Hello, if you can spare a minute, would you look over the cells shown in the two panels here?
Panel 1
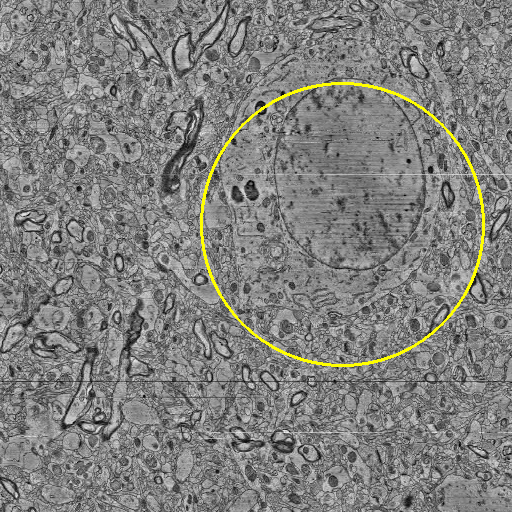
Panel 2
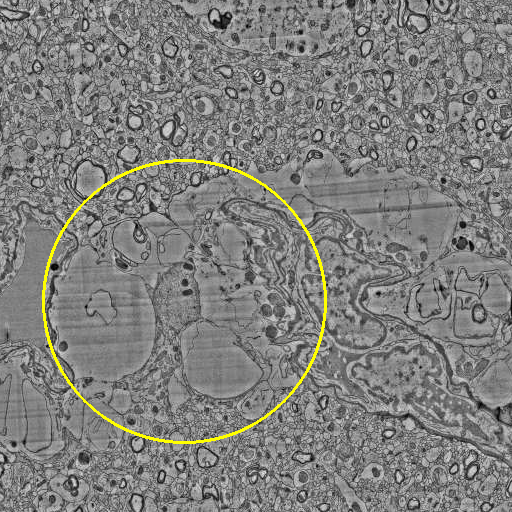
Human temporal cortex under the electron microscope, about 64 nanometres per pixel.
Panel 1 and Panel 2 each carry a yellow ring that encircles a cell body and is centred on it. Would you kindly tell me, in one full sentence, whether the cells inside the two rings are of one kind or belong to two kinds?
The cells at the centres of the rings in Panel 1 and Panel 2 belong to two kinds.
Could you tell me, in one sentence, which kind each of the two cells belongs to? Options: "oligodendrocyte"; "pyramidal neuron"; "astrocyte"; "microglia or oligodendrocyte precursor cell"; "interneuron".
At the centre of the first ring sits a pyramidal neuron, and at the centre of the second sits an oligodendrocyte.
